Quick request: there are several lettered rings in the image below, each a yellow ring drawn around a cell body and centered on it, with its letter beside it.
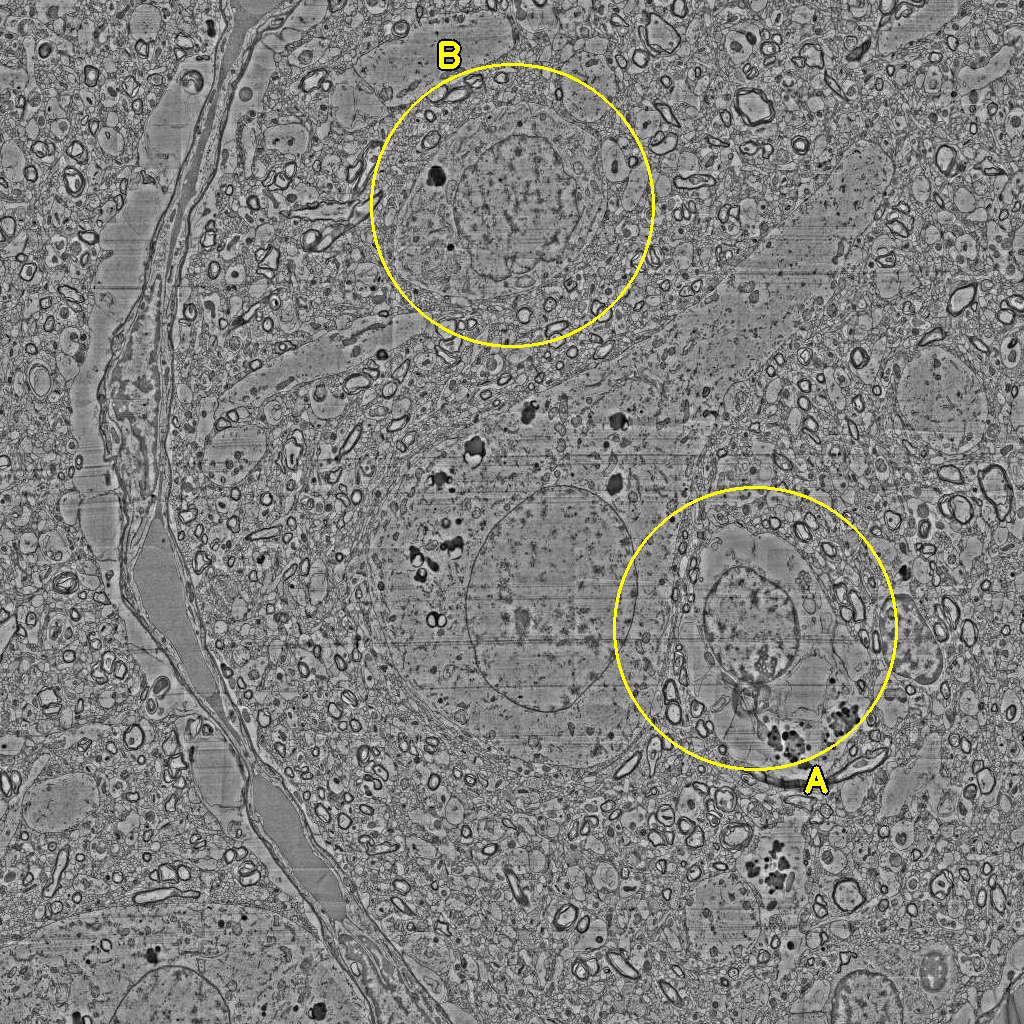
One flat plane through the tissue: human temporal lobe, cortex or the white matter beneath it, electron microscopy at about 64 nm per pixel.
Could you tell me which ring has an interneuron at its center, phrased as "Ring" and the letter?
Ring B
